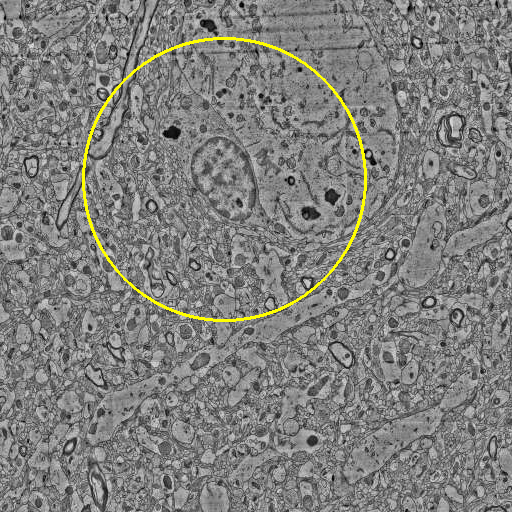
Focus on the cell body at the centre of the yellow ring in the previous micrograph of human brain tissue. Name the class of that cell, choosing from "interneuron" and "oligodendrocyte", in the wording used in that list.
oligodendrocyte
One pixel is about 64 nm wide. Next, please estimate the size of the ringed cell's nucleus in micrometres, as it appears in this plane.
In this plane the nucleus spans approximately 6 by 4 micrometers.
